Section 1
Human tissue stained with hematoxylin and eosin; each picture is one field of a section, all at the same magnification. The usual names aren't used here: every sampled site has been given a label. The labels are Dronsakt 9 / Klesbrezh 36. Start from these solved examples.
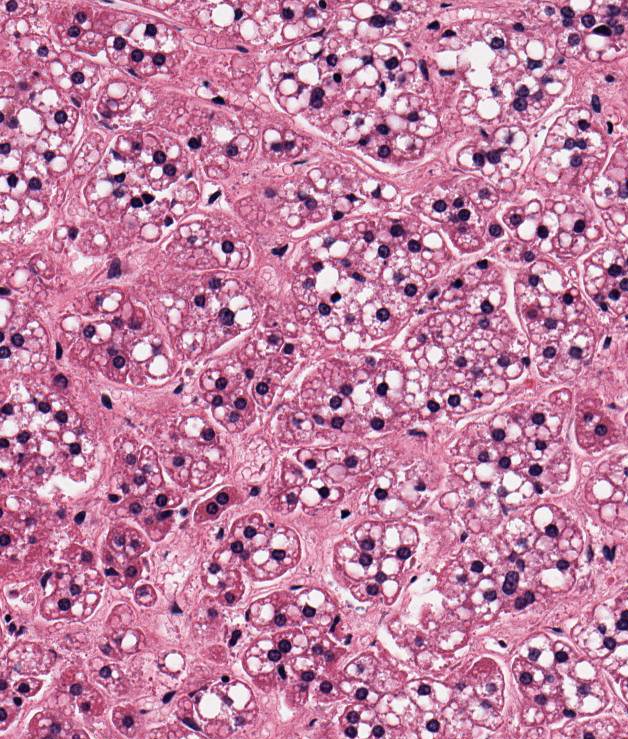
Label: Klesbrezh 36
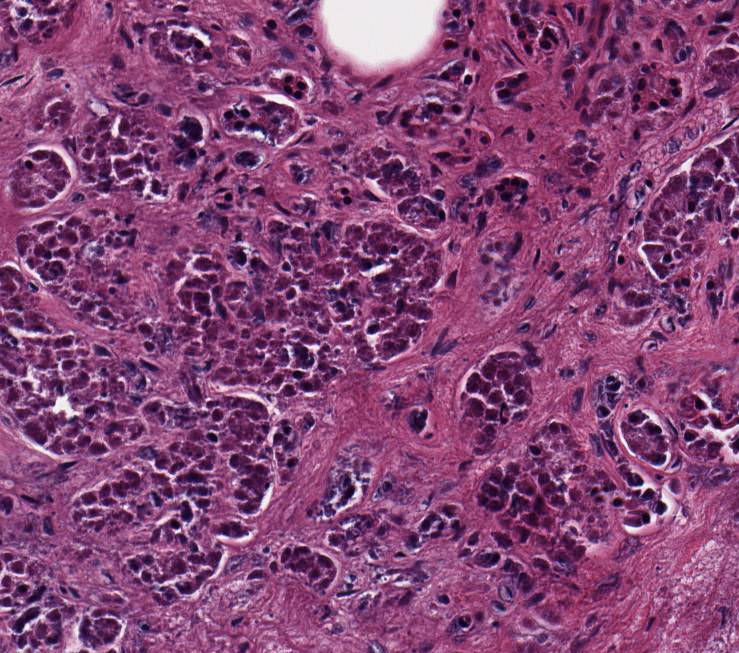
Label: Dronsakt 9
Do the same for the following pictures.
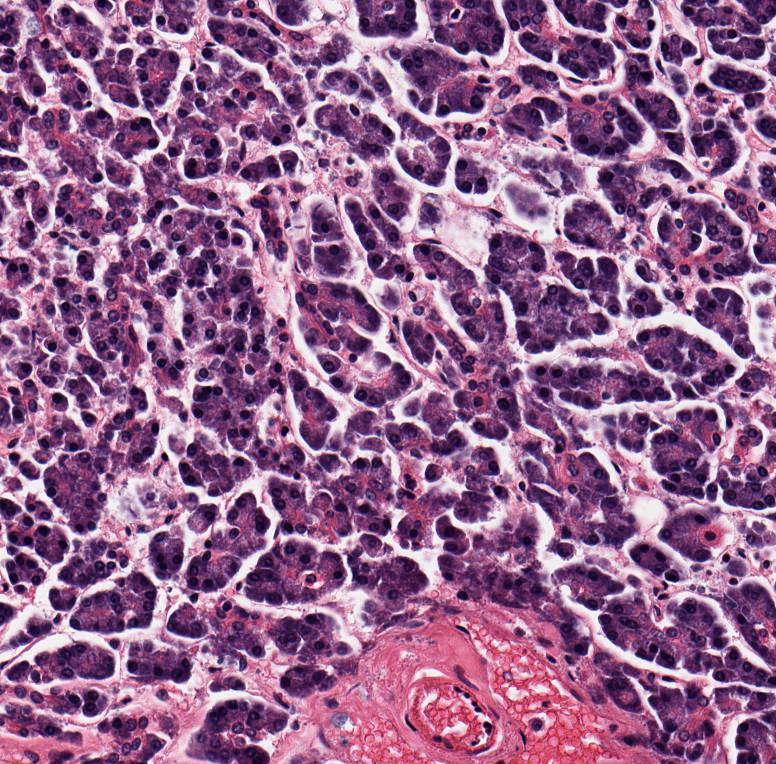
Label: Dronsakt 9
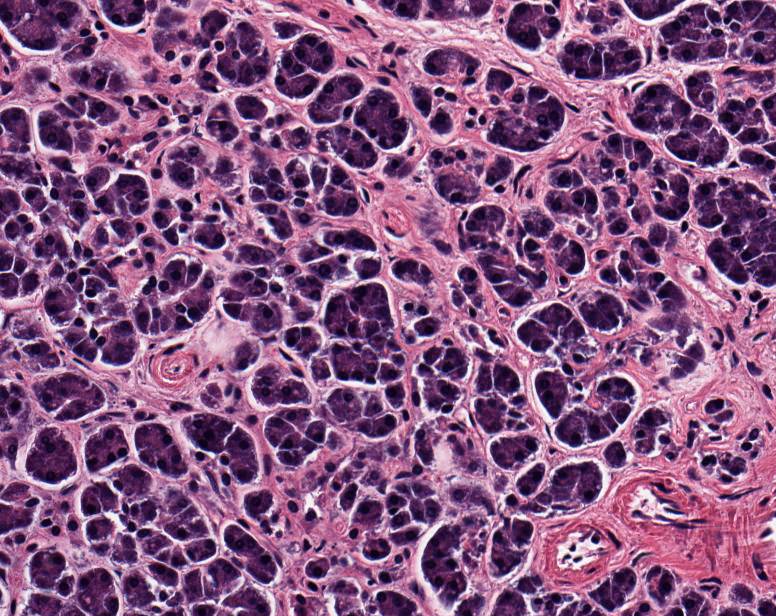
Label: Dronsakt 9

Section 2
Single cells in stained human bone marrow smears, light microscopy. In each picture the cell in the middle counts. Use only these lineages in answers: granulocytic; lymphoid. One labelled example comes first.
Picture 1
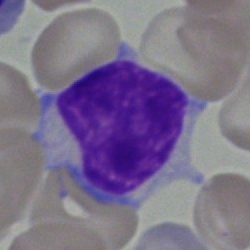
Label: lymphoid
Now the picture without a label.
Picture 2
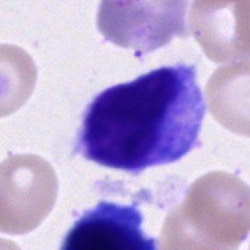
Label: lymphoid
